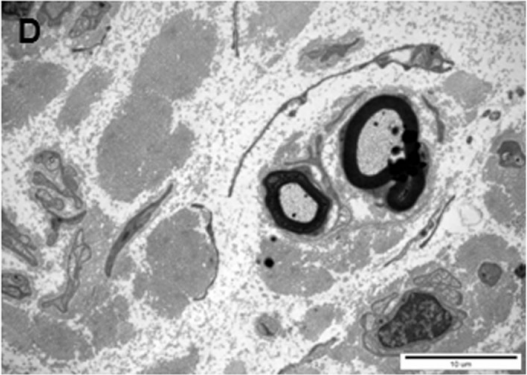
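This electron micrograph of peripheral nerve endoneurium shows two myelinated nerve fibers lying side by side near the centre. Each has a dense black myelin sheath surrounding a pale axon; the larger fiber's sheath forms an irregular fold that bulges outward on one side. The space between fibers is filled with a finely granular, dotted matrix and broad grey areas consistent with abundant collagen. Thin, elongated cell processes wind through the matrix.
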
